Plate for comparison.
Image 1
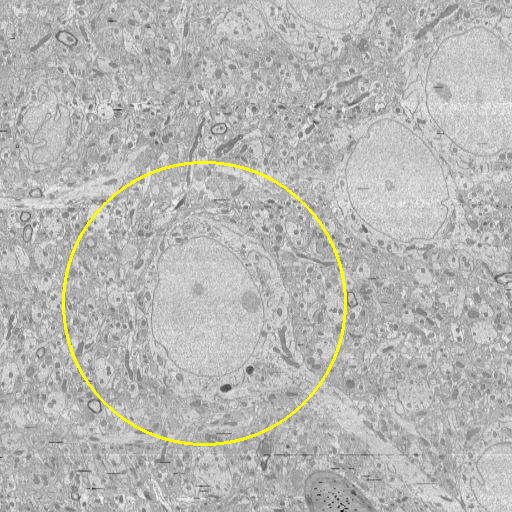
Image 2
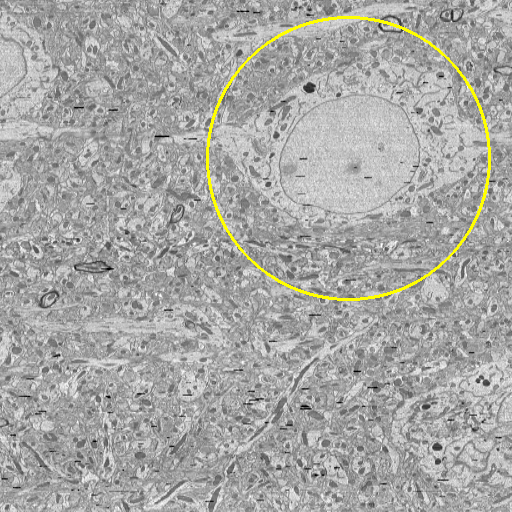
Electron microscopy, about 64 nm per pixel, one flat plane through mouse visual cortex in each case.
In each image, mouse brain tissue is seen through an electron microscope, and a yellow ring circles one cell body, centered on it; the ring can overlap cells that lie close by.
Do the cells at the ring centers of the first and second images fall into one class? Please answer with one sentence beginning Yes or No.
Yes, the first and second images show a single class of cell at the ring centers.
